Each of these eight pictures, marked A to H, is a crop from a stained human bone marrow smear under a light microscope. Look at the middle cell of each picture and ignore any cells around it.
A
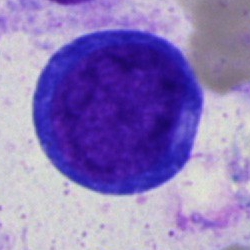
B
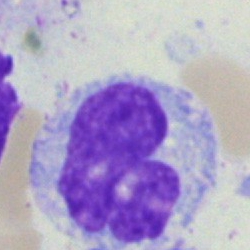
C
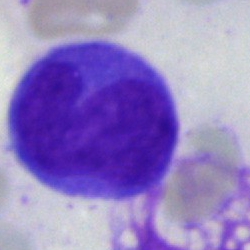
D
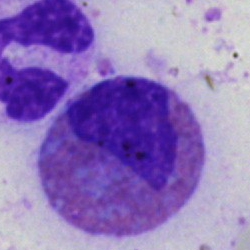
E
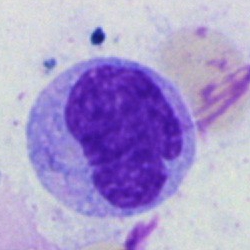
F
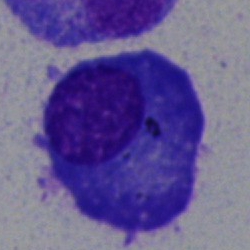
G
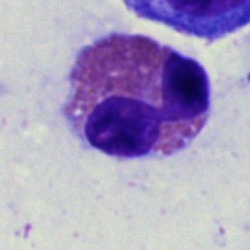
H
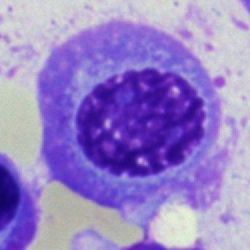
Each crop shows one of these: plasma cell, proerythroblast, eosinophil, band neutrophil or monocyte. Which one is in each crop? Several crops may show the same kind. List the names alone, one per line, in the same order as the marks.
proerythroblast
monocyte
monocyte
eosinophil
monocyte
plasma cell
eosinophil
plasma cell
